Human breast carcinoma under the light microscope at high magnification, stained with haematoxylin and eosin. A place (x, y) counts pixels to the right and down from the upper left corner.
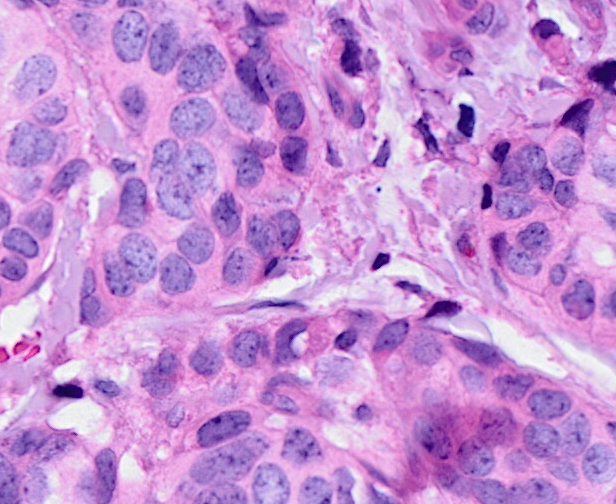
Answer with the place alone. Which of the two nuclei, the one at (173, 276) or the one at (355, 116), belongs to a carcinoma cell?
(173, 276)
